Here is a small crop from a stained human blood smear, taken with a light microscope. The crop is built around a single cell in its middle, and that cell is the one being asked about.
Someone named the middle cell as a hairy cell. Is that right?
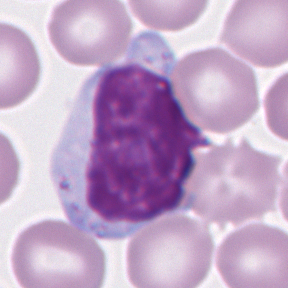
no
